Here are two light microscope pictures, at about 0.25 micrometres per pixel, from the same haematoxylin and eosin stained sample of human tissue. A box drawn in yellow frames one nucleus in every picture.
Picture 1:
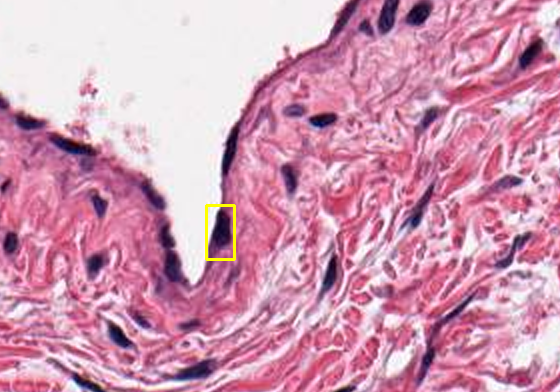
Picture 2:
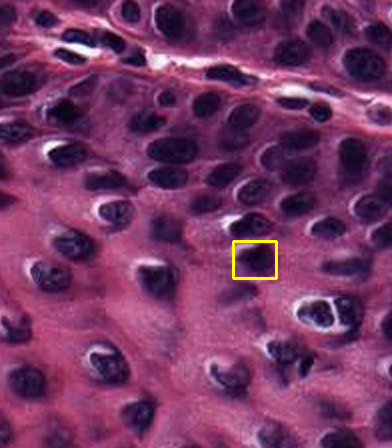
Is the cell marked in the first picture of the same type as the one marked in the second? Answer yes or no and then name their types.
No, the first is an endothelial cell and the second a squamous epithelial cell.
